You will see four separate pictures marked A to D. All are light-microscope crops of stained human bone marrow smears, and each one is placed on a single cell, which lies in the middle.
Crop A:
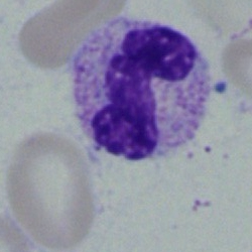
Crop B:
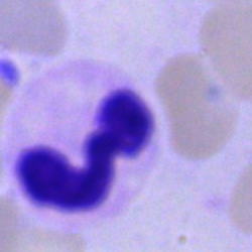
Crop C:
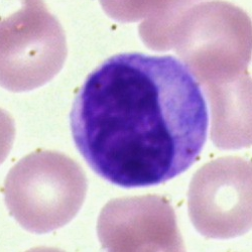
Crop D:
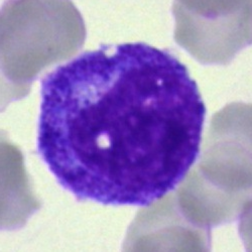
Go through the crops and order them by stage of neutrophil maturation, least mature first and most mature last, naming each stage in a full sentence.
In order of increasing maturity, the crops run crop D (a promyelocyte), crop C (a metamyelocyte), crop A (a band neutrophil) and crop B (a segmented neutrophil).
